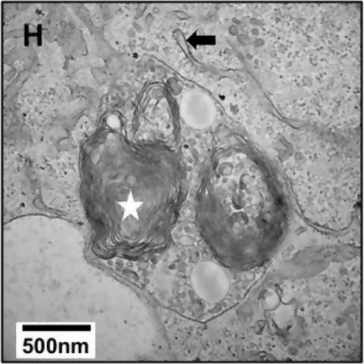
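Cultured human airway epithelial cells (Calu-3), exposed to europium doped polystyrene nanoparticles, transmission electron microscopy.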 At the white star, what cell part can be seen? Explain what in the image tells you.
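The starred body is filled with tightly packed, concentric dark membrane lamellae. That points to this answer: lamellar body.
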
